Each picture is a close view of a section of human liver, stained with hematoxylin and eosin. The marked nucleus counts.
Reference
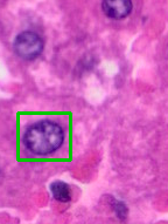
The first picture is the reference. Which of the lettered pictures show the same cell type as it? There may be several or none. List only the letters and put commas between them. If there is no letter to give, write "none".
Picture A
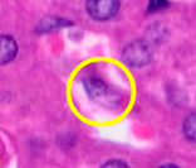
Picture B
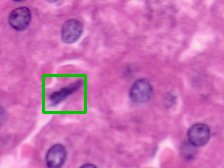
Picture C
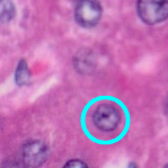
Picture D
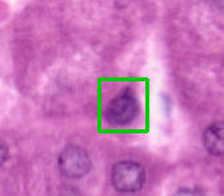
C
